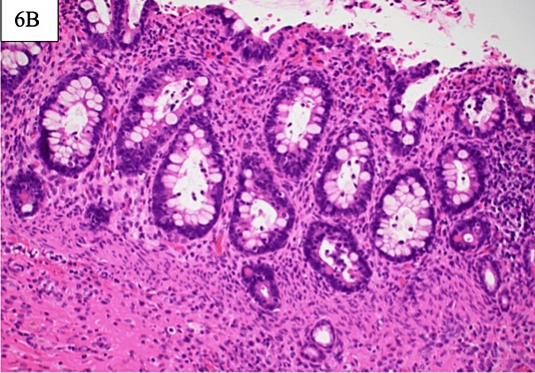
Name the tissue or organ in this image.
Colonic type mucosa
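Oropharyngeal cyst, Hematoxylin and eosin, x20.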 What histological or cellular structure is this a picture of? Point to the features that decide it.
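Crypts. Rounded glandular profiles sit side by side in a cellular stroma beneath the surface. Each profile has a central lumen surrounded by a single layer of epithelium.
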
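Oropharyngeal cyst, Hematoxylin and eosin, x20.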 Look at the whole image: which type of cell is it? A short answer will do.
goblet cells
